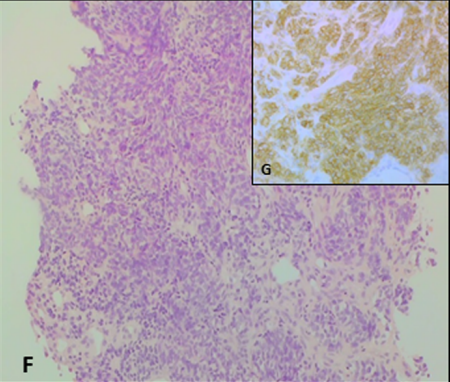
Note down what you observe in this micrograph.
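This section shows a massive infiltration by tumor cells that are poorly differentiated. The cells are small and packed closely together in solid sheets, with dark purple nuclei and only scant cytoplasm. No glands or other organised structures are formed. Paler, looser areas with scattered cells lie among the dense sheets. In the inset, the sheets of tumor cells are stained brown throughout.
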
